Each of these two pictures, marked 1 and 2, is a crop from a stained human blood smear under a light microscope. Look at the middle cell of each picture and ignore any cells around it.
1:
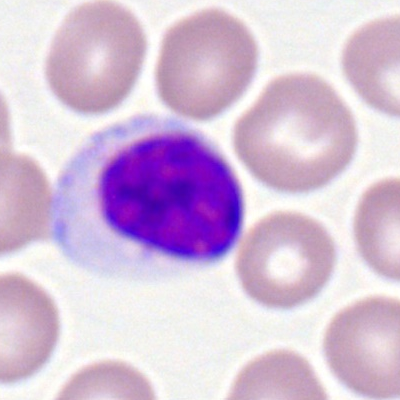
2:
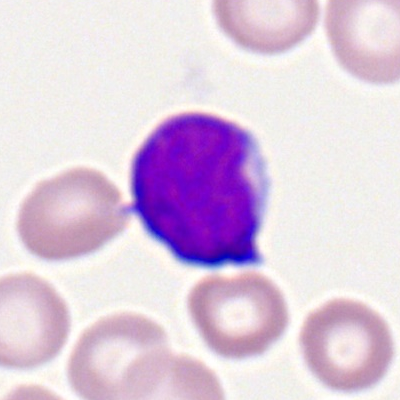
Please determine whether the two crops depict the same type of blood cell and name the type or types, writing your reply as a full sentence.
Yes, both crops show lymphocytes, and that holds for each one.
